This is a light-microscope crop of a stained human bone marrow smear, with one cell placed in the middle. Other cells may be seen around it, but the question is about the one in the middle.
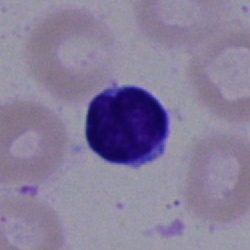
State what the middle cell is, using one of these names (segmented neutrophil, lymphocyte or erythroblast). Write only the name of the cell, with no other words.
lymphocyte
